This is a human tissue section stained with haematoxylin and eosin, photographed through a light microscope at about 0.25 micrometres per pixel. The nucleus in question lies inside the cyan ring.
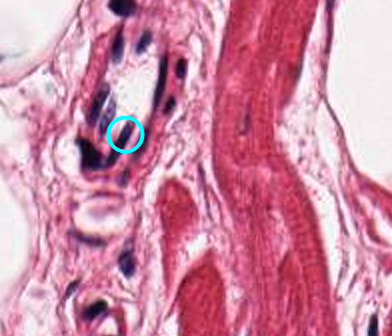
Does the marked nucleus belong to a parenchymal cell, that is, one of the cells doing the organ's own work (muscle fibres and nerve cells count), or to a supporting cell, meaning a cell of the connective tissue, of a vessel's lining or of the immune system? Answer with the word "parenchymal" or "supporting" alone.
supporting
